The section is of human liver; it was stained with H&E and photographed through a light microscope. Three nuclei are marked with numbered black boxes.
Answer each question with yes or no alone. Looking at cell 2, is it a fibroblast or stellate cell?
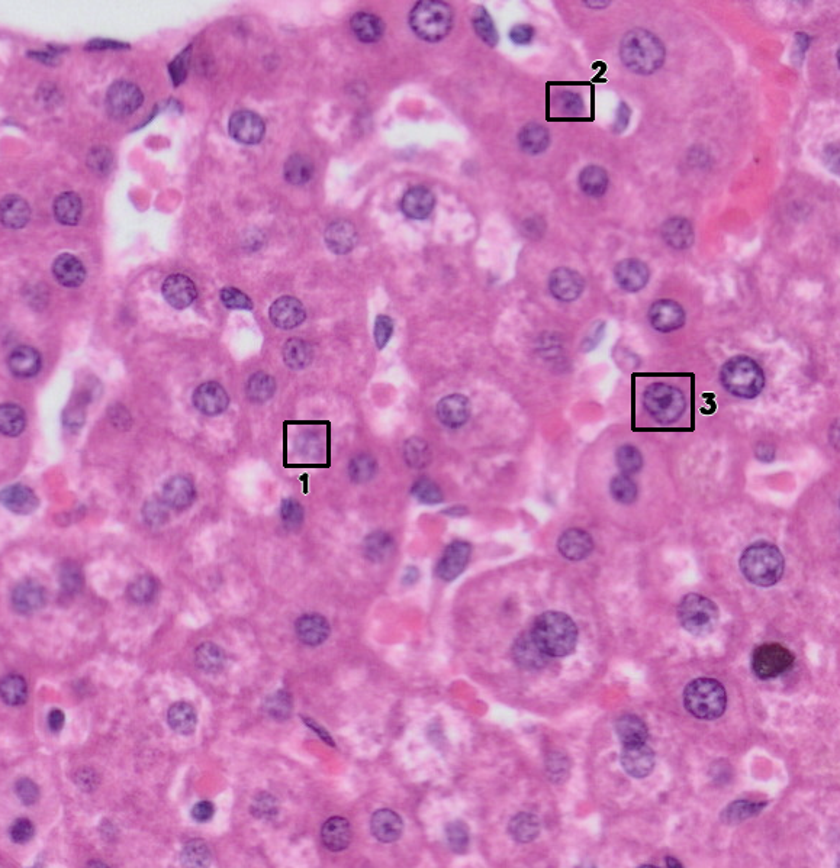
yes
